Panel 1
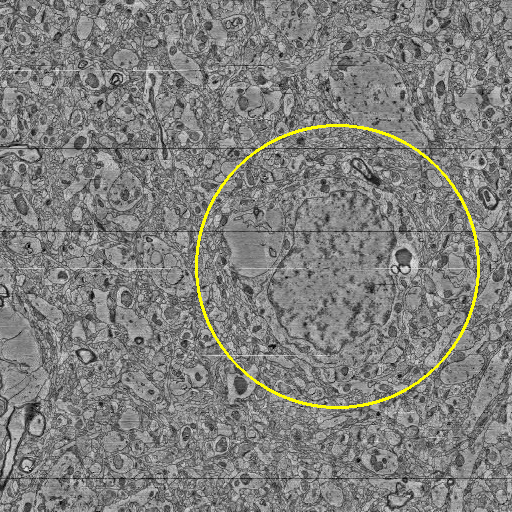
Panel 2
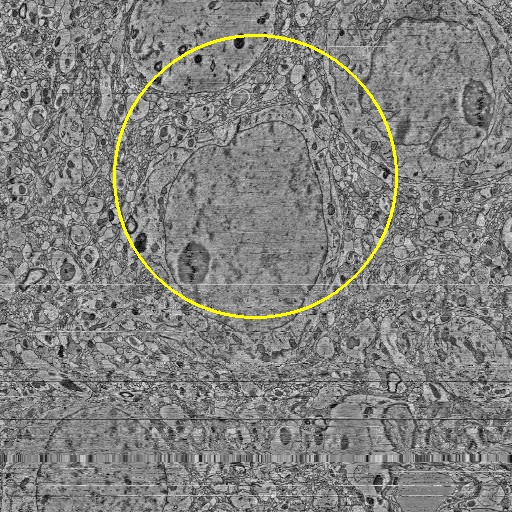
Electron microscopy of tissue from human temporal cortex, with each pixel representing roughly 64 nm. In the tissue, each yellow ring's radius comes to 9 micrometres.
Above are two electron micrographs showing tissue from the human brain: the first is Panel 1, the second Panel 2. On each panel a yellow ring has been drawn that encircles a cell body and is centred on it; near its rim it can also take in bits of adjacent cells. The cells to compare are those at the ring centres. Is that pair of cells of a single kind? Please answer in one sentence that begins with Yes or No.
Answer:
No, the ring-centred cells of Panel 1 and Panel 2 belong to two kinds.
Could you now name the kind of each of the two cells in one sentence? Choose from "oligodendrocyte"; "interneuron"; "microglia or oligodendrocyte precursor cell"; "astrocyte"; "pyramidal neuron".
The first ring encloses a microglial cell or oligodendrocyte precursor cell; the second ring encloses a pyramidal neuron.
